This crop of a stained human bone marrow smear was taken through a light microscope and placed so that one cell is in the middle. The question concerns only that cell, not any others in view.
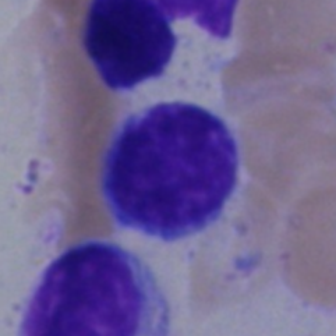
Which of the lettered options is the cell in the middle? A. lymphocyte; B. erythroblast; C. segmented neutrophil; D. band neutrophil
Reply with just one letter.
A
